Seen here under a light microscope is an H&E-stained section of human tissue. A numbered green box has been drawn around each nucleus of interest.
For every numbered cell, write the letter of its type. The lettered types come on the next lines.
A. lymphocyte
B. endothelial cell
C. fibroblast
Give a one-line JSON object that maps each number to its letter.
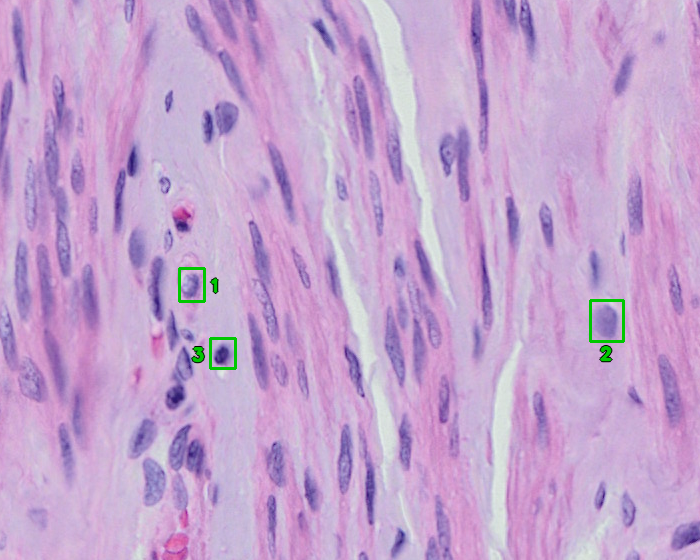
{"1": "B", "2": "C", "3": "A"}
